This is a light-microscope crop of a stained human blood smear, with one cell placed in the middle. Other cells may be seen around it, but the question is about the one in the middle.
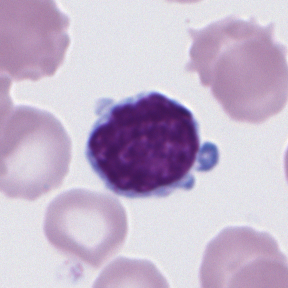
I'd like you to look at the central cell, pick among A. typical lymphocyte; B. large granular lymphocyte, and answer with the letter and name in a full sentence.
Option A is correct here, and the cell in the middle is a typical lymphocyte.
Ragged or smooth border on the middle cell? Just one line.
The cell outline lacks smoothness, being ragged or extended into projections.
